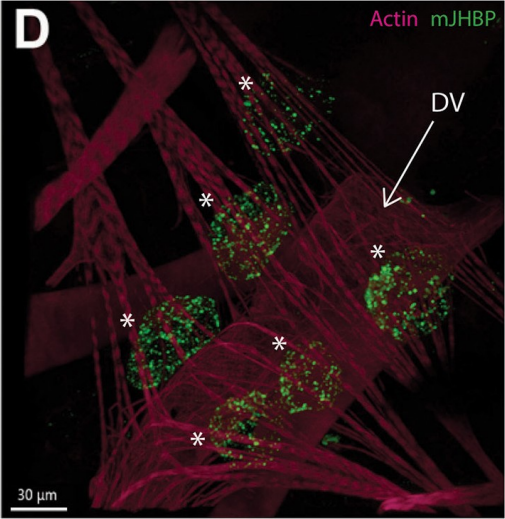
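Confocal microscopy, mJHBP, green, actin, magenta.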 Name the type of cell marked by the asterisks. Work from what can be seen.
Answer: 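Pericardial cells. Rounded cells, each several tens of micrometres across, filled with green granules. The cells sit in a row flanking a broad tube crossed by magenta fibres. Thin magenta strands run between and around the cells.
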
